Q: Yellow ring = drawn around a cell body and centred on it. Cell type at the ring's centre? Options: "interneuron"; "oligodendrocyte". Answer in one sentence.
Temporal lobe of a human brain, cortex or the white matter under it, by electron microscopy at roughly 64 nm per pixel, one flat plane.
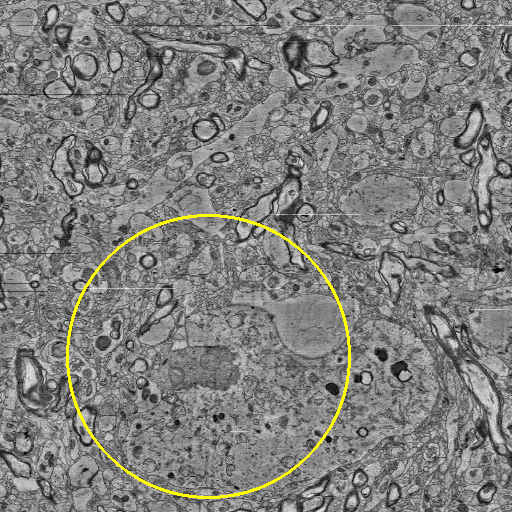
Centred in the ring is an oligodendrocyte.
